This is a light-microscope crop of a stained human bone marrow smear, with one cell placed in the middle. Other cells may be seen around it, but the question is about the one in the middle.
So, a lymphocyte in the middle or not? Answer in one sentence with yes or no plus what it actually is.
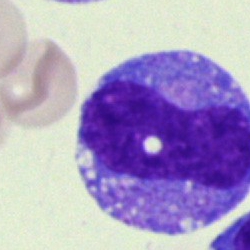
No, the cell in the middle should be called a monocyte instead of a lymphocyte.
